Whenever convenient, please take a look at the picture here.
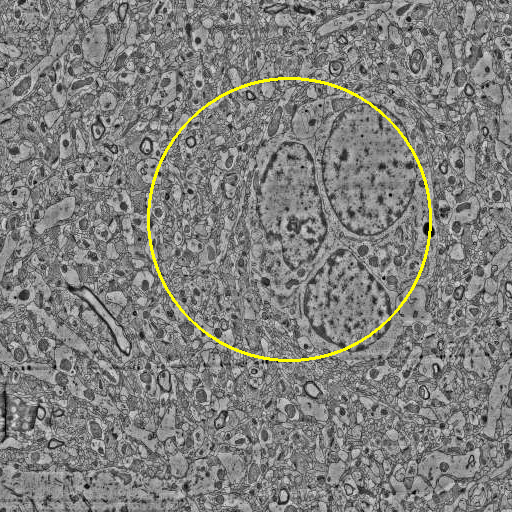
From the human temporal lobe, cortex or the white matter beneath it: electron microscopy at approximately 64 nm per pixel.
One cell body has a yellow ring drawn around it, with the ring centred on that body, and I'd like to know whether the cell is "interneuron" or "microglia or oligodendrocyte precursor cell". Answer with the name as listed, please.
microglia or oligodendrocyte precursor cell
